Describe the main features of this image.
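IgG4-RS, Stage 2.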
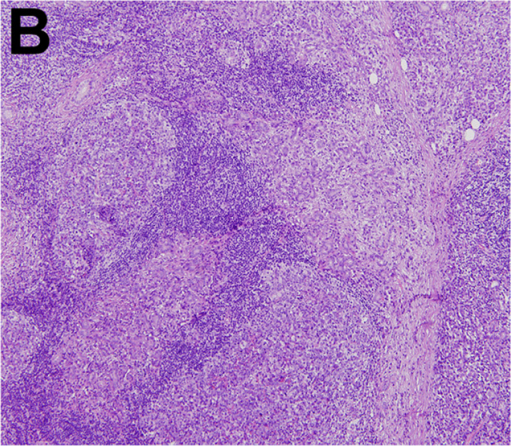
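This salivary gland is heavily infiltrated by lymphocytes and plasma cells, which form lymphoid follicles with reactive germinal centers. Large rounded follicles show a pale centre of larger cells with more pink cytoplasm, rimmed by a dark purple band of densely packed small lymphocytes. Between the follicles the infiltrate spreads diffusely, and normal glandular acini are scarcely seen, reflecting loss of parenchyma. On one side a band of pink fibrous tissue with elongated spindle nuclei runs through the tissue, marking fibrosis along the edge of a lobule. A few small empty fat spaces are scattered near it.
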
